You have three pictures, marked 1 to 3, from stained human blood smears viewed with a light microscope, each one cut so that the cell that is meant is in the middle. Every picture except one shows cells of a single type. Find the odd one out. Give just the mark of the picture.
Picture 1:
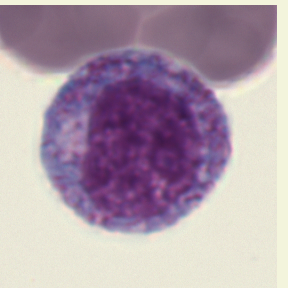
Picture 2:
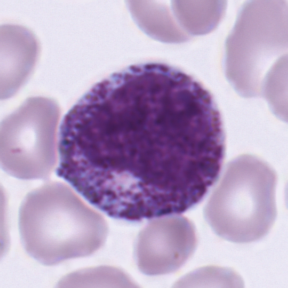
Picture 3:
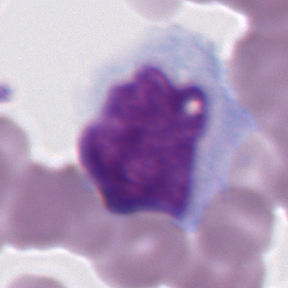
3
